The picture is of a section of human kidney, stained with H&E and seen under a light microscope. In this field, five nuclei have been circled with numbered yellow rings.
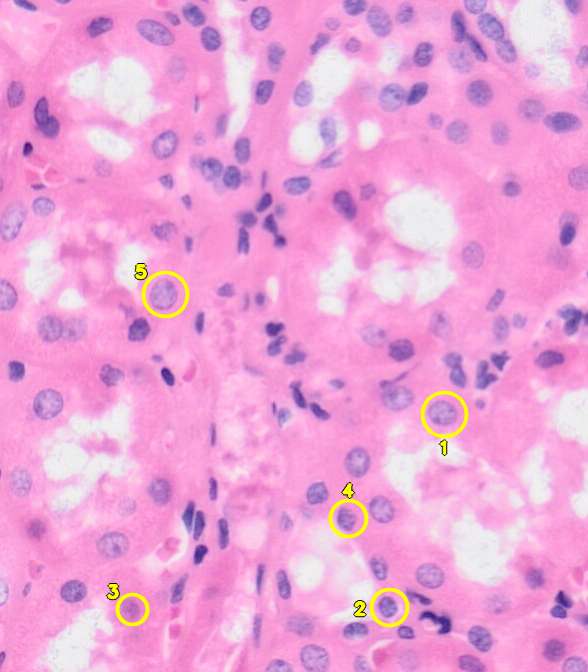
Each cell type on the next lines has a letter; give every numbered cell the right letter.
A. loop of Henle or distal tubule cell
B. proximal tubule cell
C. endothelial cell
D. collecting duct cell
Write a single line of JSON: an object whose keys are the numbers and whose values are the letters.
{"1": "B", "2": "A", "3": "B", "4": "A", "5": "B"}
